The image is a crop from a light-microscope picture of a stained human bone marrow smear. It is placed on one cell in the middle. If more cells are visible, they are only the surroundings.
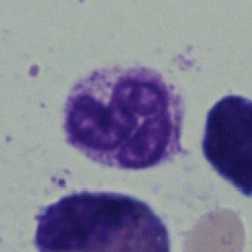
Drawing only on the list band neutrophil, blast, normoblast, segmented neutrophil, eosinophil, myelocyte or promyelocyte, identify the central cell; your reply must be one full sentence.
The cell positioned in the middle of the field is a segmented neutrophil.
